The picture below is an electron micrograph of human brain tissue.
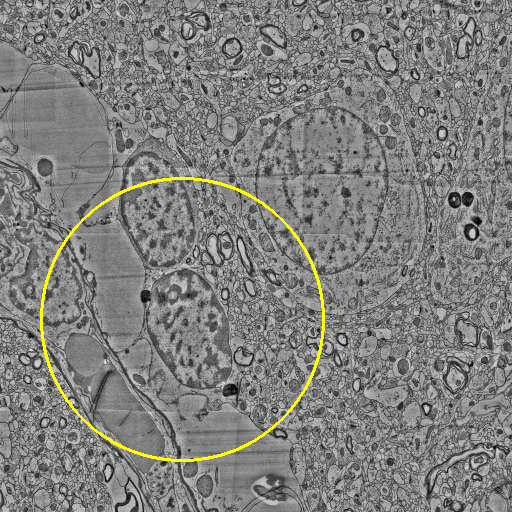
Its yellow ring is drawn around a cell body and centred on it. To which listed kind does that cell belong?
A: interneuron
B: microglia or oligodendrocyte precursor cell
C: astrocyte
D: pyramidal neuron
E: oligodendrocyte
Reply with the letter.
B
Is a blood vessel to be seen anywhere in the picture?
Yes, there is a blood vessel.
